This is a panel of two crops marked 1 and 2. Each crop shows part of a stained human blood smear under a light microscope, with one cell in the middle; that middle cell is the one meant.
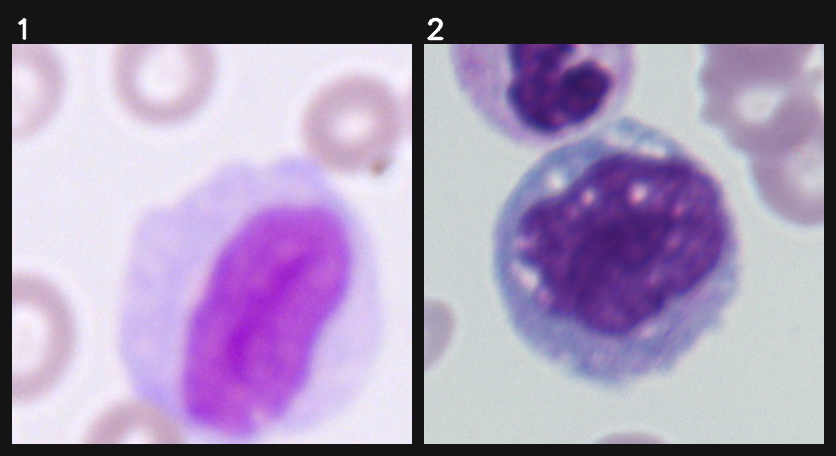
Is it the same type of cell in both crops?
yes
